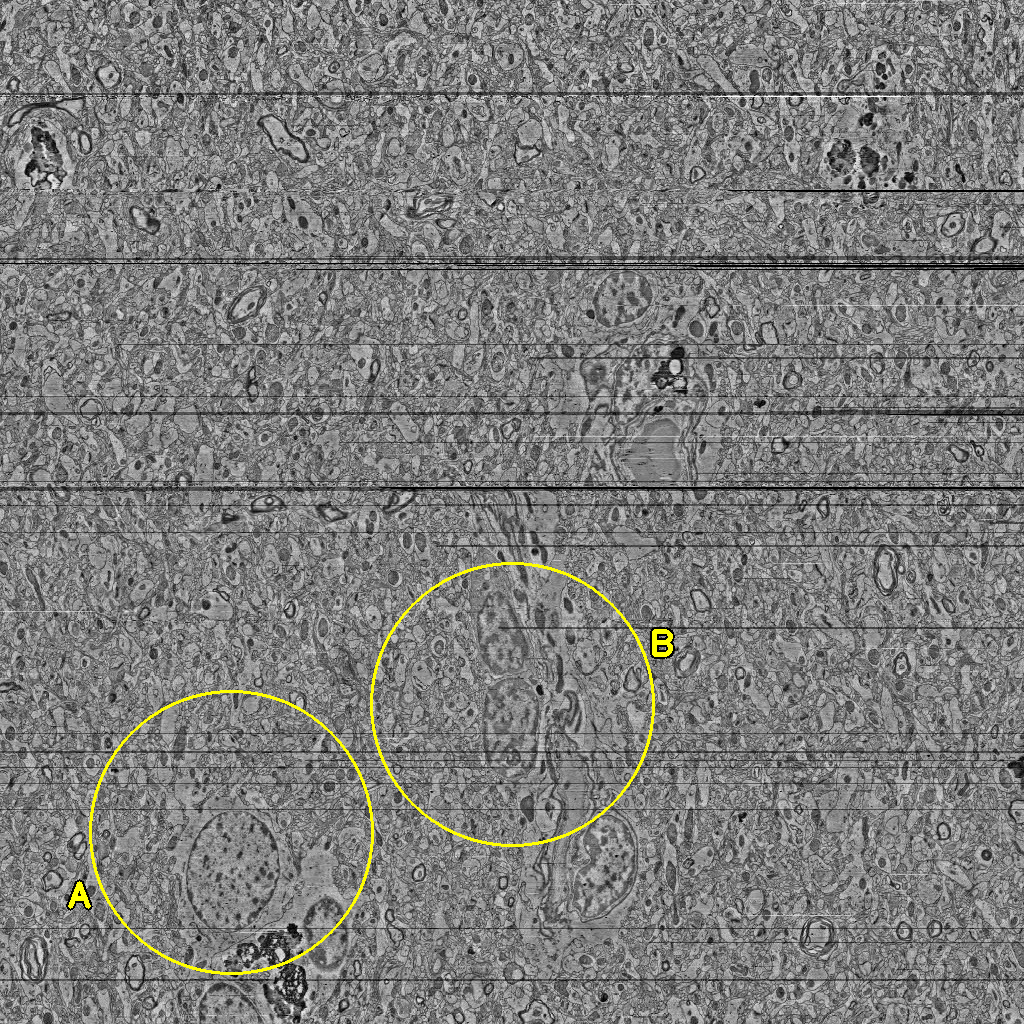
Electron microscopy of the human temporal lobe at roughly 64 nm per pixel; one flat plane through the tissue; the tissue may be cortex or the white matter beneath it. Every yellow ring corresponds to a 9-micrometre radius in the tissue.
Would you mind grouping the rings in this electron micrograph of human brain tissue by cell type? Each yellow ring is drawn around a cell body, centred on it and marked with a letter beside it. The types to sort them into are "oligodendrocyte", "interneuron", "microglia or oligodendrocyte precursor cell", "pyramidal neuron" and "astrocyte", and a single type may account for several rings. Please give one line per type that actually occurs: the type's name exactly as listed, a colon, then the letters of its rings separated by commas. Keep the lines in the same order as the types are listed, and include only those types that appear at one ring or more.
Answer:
oligodendrocyte: B
astrocyte: A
